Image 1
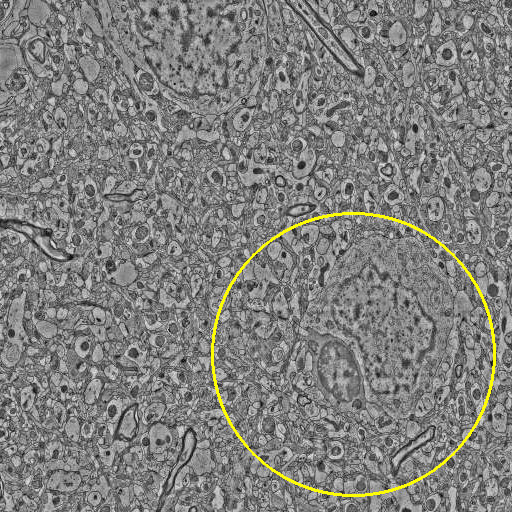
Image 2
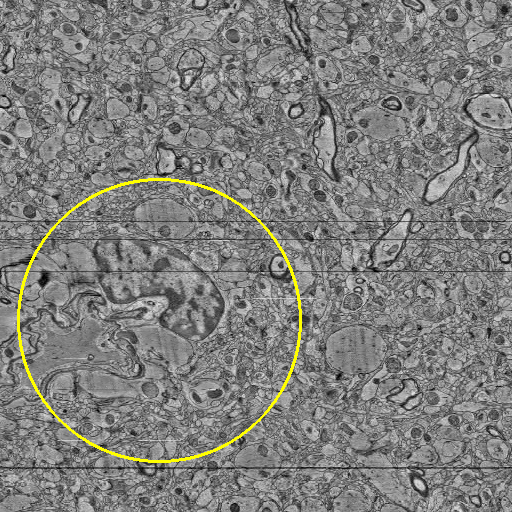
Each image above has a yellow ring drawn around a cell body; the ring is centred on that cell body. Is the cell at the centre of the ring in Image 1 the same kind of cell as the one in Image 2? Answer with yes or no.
no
